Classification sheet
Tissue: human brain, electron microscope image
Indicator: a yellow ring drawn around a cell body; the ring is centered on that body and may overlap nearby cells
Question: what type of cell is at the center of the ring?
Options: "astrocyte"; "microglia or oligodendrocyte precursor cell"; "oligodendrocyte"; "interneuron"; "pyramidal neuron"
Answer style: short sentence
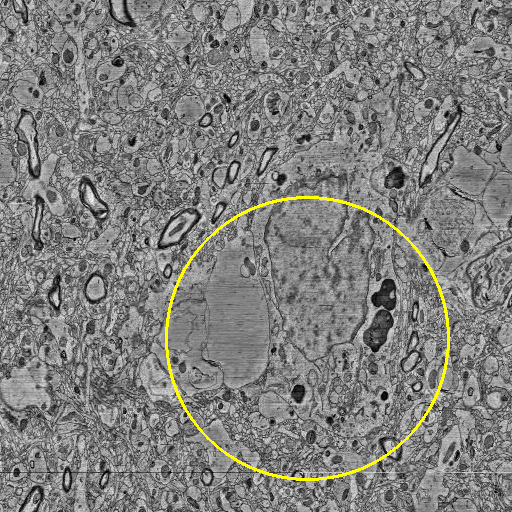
At the ring's center is an interneuron.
